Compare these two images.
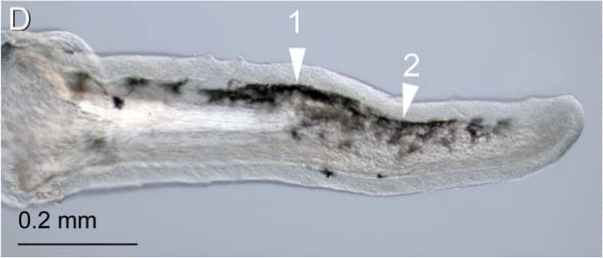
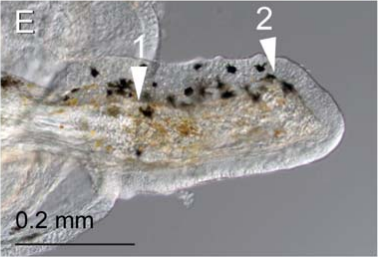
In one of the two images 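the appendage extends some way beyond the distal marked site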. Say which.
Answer: The first image.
